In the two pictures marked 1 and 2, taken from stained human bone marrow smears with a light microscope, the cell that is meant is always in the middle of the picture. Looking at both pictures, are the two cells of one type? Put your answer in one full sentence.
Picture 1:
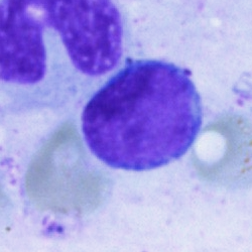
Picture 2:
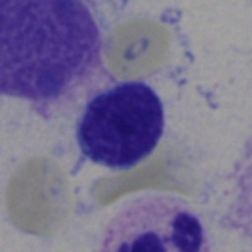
Yes, the two pictures both show lymphocytes.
